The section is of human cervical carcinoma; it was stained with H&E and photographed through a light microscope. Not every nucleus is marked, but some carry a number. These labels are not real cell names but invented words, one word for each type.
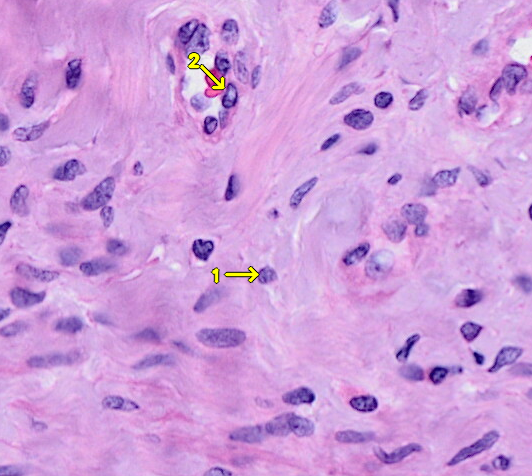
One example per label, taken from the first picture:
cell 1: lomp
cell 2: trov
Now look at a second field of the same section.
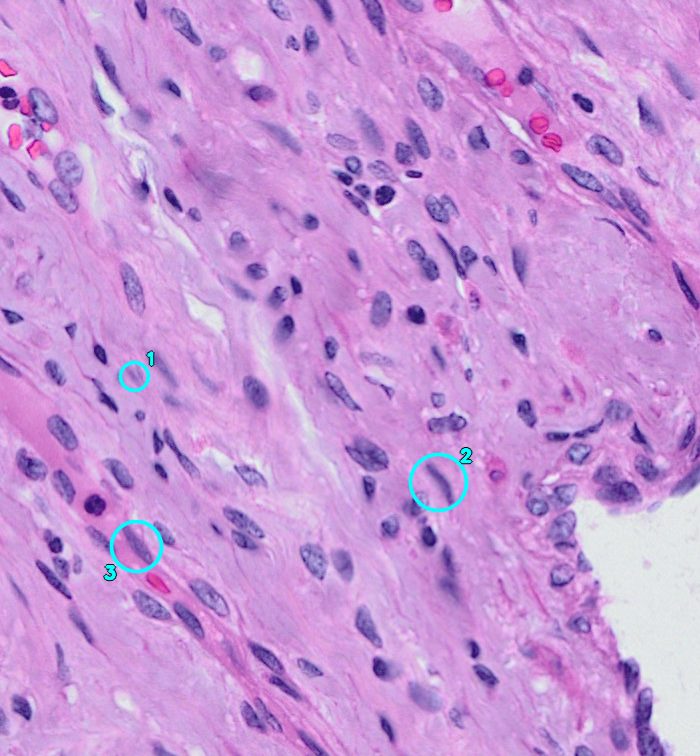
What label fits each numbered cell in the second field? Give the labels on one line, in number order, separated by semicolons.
lomp; lomp; trov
